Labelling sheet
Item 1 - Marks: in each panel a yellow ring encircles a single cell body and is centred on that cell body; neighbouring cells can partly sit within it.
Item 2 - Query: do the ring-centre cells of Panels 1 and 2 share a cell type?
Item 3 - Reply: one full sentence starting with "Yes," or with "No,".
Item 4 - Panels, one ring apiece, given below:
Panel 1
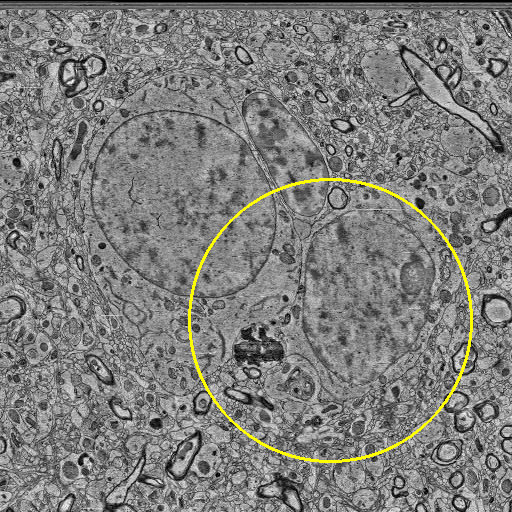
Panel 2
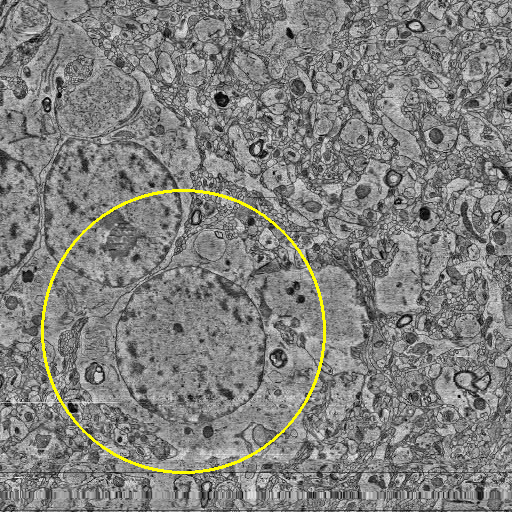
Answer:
No, Panel 1 and Panel 2 show two cell types at the centres of their rings.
